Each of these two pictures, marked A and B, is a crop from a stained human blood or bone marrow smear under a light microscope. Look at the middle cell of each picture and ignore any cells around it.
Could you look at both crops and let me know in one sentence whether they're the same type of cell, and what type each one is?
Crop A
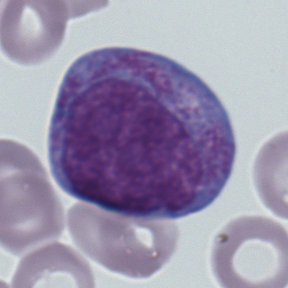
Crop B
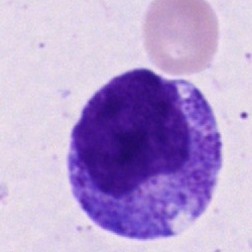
Yes, the reply for both crops is promyelocytes.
